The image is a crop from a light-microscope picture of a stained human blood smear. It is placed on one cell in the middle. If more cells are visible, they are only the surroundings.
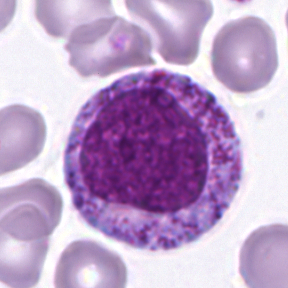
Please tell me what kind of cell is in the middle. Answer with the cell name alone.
myelocyte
